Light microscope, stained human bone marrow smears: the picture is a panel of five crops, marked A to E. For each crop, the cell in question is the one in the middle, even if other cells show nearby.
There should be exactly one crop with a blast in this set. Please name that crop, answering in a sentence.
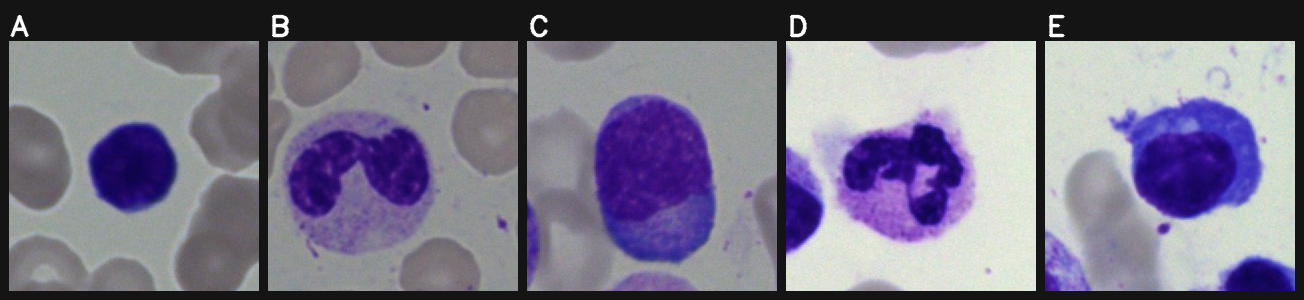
Crop C is identified as the crop showing a blast.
